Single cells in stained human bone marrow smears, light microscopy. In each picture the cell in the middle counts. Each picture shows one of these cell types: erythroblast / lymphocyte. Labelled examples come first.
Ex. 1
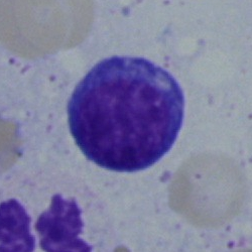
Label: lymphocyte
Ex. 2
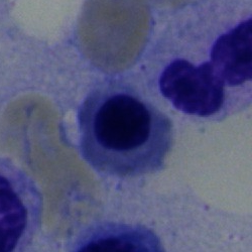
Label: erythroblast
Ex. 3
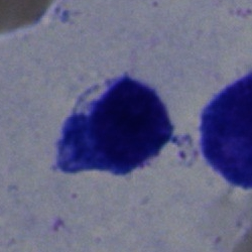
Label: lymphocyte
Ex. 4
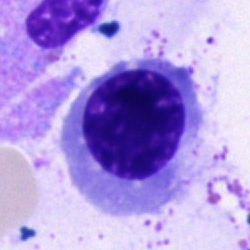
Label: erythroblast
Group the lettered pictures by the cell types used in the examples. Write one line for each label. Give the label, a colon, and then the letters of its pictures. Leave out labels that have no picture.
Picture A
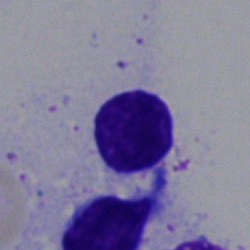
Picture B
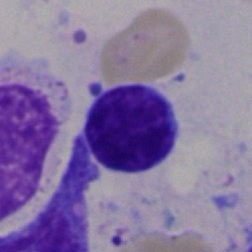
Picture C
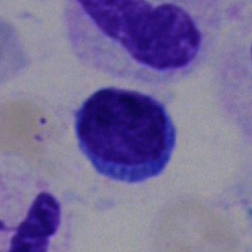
lymphocyte: A, B, C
